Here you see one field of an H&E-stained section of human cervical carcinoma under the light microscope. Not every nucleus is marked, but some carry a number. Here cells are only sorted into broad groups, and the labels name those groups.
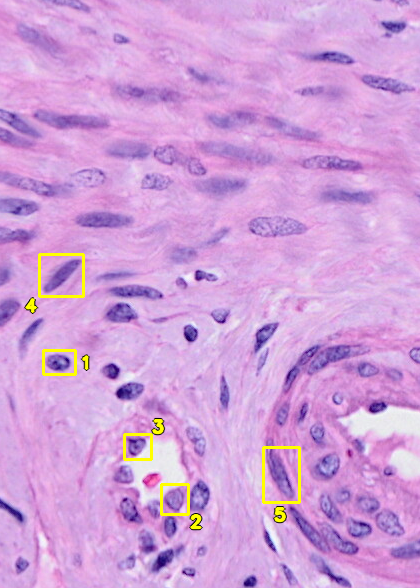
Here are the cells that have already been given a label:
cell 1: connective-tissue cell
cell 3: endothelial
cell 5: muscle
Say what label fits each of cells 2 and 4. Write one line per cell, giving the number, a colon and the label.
2: endothelial
4: connective-tissue cell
